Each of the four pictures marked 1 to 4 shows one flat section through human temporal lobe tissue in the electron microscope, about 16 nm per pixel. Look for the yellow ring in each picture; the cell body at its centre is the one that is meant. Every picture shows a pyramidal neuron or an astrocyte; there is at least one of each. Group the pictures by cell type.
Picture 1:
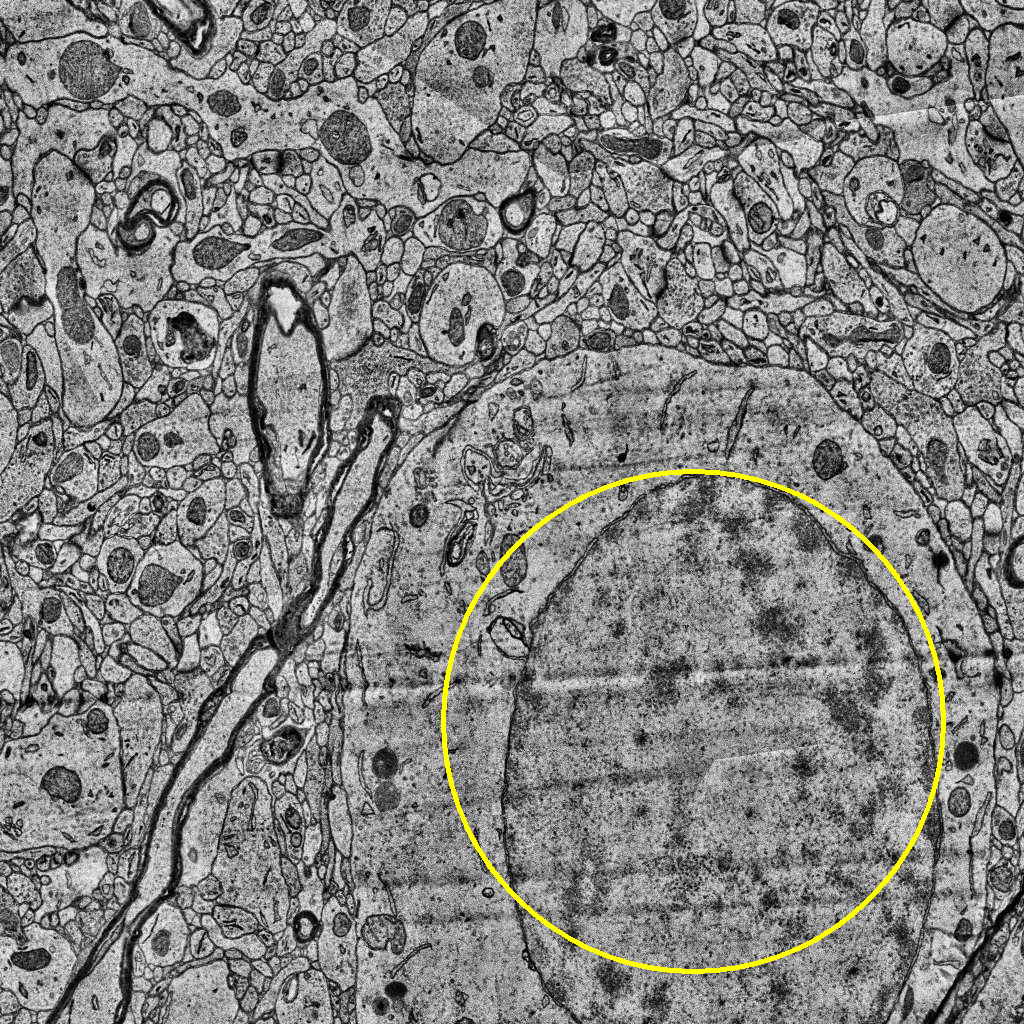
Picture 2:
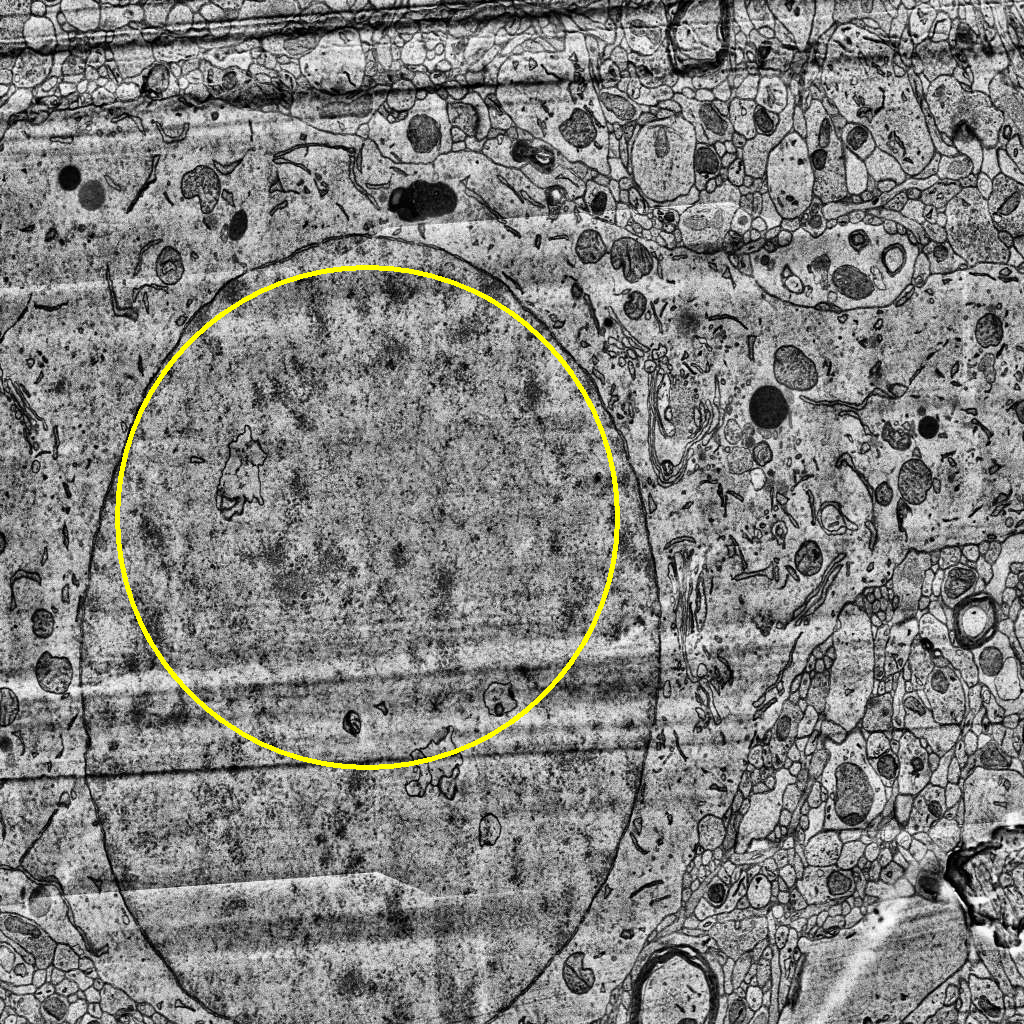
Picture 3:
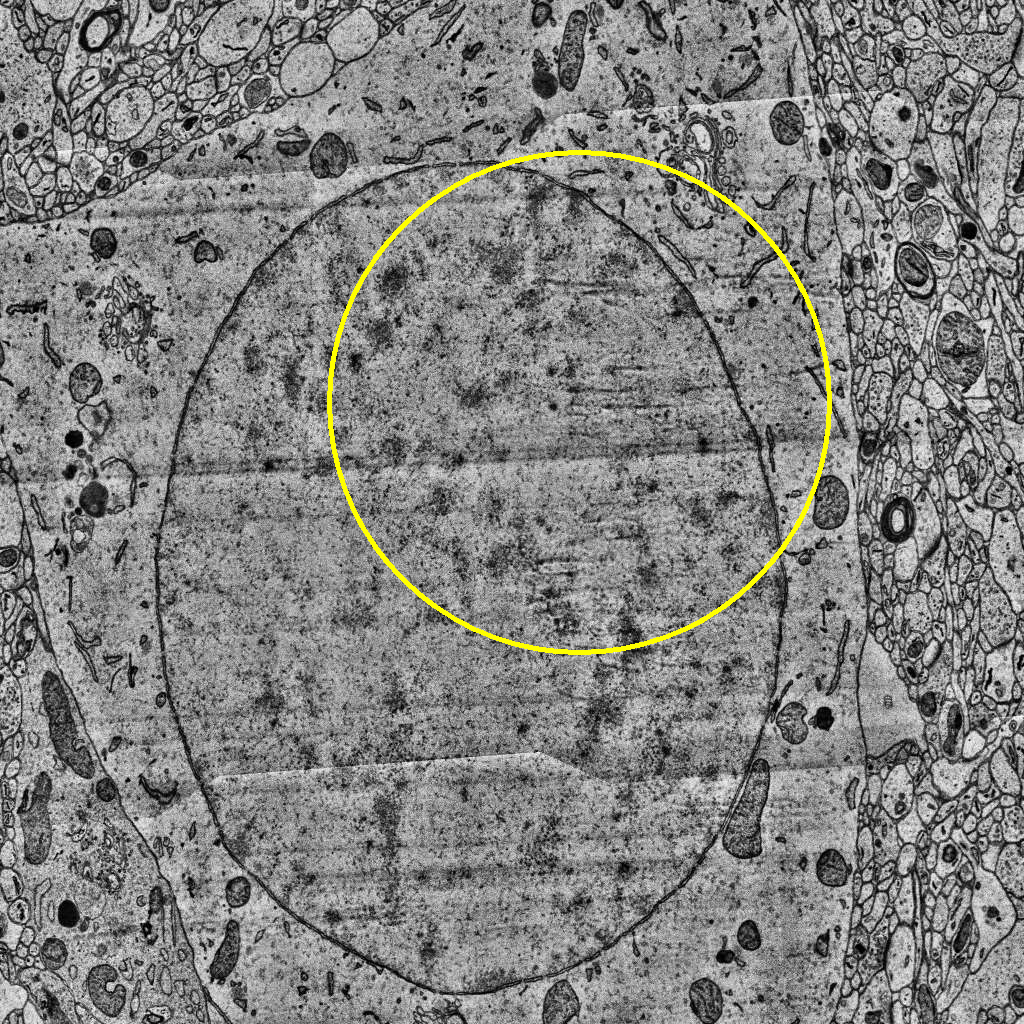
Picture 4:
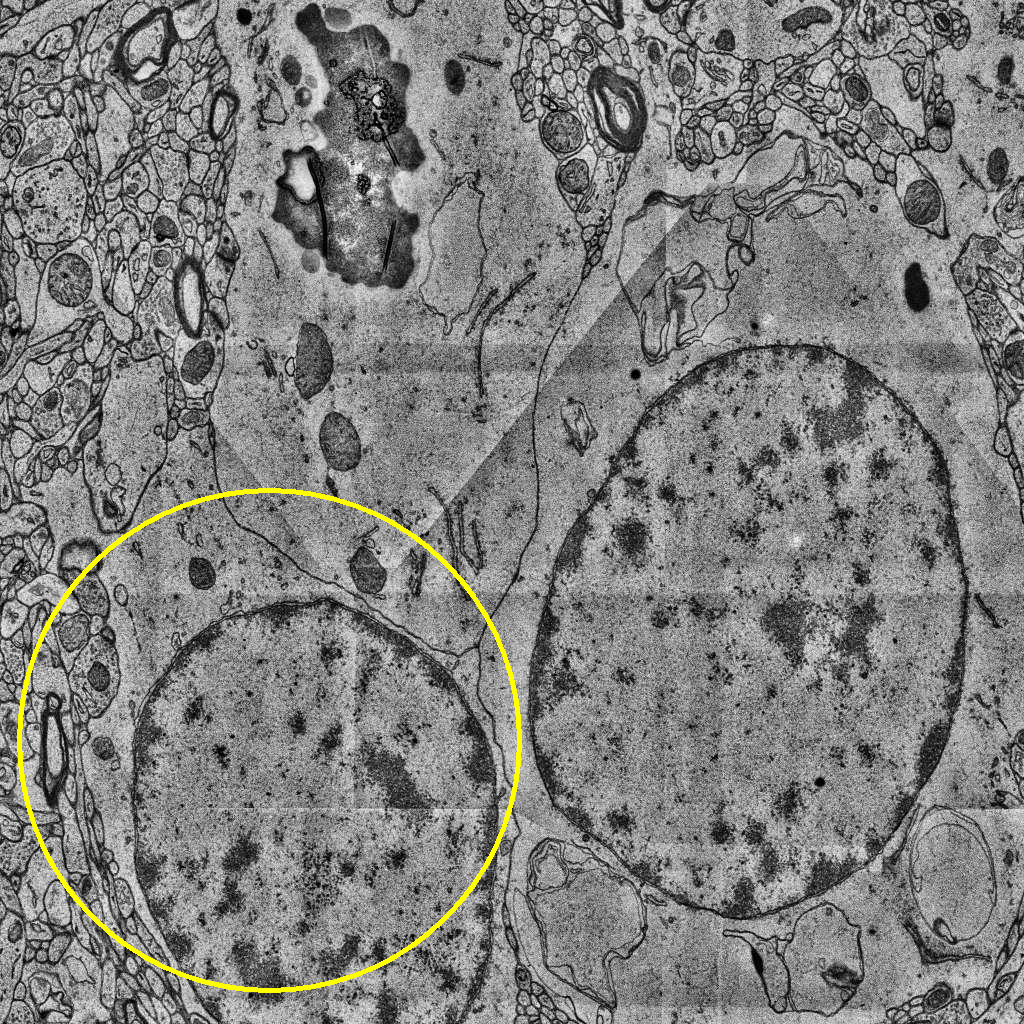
Pictures 1, 2 and 3 show pyramidal neurons, and picture 4 shows an astrocyte.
